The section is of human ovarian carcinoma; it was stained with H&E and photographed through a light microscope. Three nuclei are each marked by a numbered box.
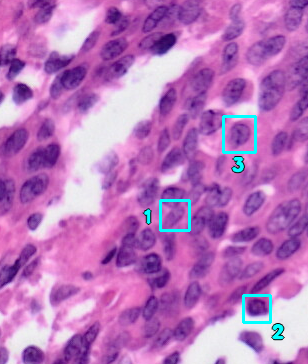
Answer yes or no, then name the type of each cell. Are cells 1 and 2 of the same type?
Yes, the two cells marked 1 and 2 are both carcinoma cells.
